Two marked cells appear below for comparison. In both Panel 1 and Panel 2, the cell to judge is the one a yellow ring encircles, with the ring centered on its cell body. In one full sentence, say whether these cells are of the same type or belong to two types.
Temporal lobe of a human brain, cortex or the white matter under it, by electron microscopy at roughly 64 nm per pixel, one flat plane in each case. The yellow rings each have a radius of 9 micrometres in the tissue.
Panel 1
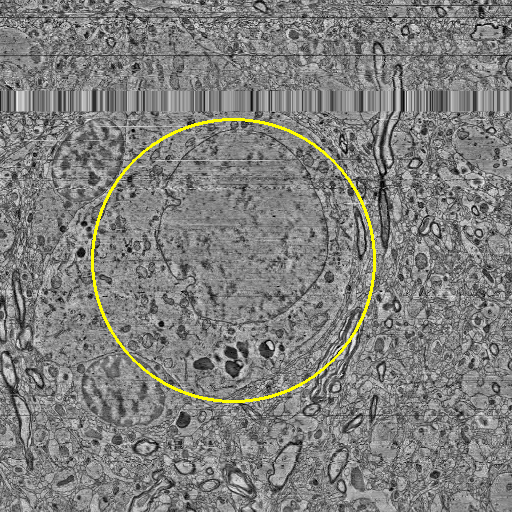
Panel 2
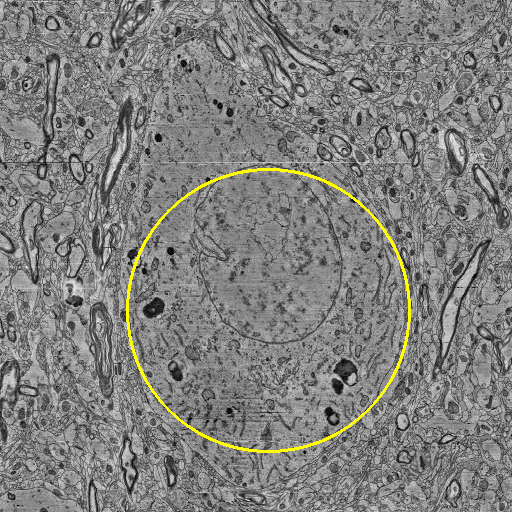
The cell centered in the Panel 1 ring and the one in Panel 2 are of the same type.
